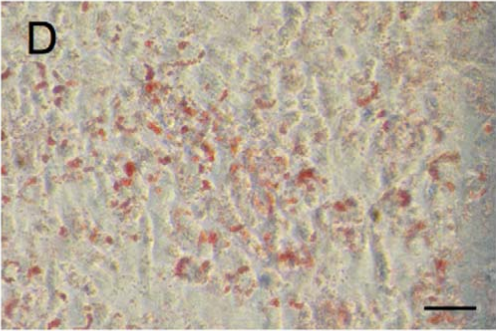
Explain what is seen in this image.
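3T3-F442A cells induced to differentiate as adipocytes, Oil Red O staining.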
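The red droplets are small and numerous, scattered through the cytoplasm of cells spread over much of the field, particularly in its centre and left part. Some cells show the droplets arranged around their edge, but many appear as irregular clusters of fine red granules rather than distinct rounded rings. The surrounding background is a pale, grey, unstained layer of flattened cells with a wavy texture, and the right edge of the field is largely free of red-stained cells.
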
